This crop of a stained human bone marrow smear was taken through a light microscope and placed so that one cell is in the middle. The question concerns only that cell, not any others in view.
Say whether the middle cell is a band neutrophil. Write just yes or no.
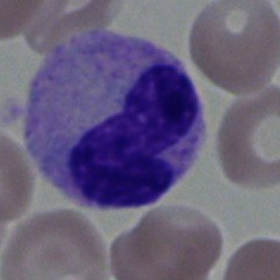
yes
